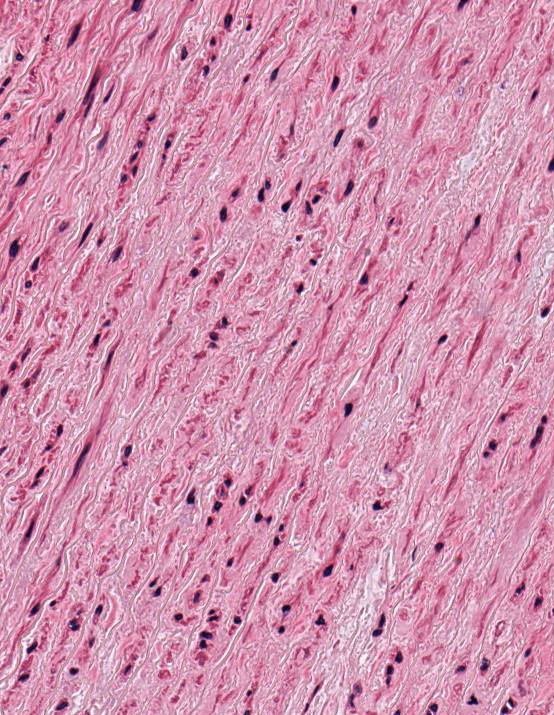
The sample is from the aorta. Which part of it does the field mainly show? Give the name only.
tunica media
